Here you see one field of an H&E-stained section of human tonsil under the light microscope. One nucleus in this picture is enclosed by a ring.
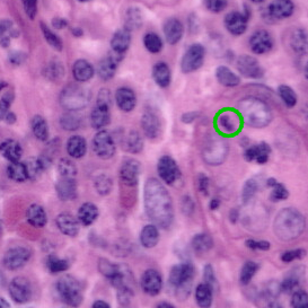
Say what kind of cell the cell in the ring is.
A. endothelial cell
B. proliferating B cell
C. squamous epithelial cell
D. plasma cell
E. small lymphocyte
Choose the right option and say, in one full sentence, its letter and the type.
Exactly as option A gives it, the cell in the ring is an endothelial cell.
